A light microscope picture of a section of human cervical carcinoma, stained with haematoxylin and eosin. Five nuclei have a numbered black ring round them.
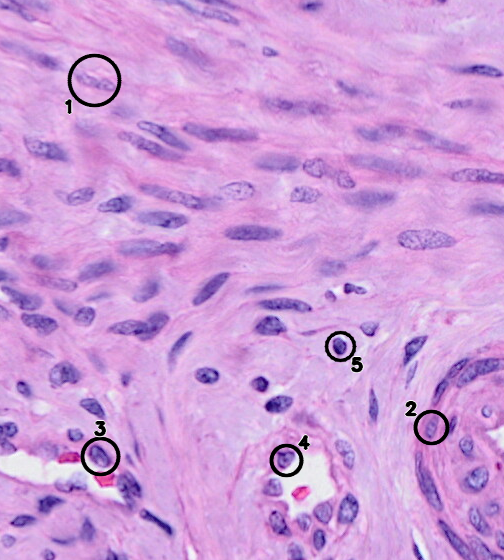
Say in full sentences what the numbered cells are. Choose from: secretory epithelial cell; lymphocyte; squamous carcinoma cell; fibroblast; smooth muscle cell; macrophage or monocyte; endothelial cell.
Cell 1 is a smooth muscle cell, cell 2 is a smooth muscle cell, cell 3 is an endothelial cell, cell 4 is an endothelial cell and cell 5 is a fibroblast.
